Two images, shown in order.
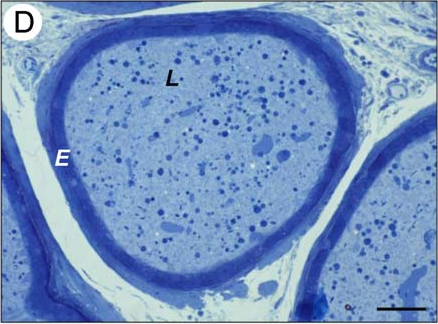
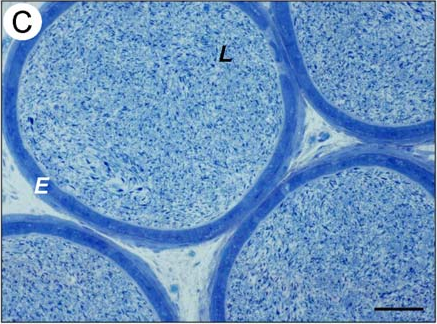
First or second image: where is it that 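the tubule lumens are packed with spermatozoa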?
the second image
